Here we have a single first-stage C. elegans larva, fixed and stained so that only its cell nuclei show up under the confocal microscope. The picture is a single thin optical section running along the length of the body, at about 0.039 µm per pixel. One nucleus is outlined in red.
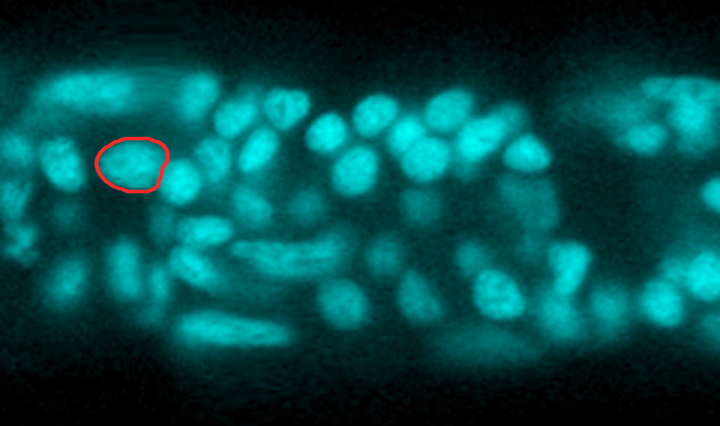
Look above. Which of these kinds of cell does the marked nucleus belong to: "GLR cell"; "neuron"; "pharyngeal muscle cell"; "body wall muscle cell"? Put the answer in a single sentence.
What is marked is the nucleus of a pharyngeal muscle cell.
